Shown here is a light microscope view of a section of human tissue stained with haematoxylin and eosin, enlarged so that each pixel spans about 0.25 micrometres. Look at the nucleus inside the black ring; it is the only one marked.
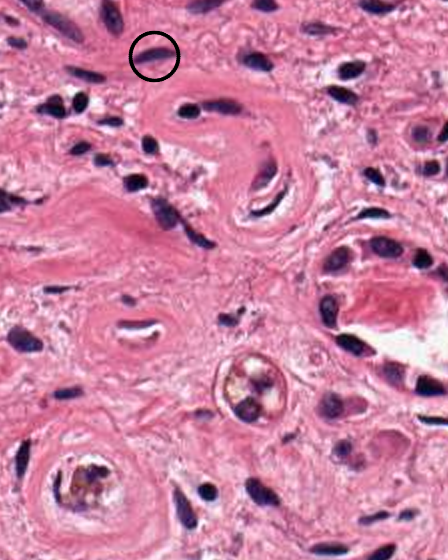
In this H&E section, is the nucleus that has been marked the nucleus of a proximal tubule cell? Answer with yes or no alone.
no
